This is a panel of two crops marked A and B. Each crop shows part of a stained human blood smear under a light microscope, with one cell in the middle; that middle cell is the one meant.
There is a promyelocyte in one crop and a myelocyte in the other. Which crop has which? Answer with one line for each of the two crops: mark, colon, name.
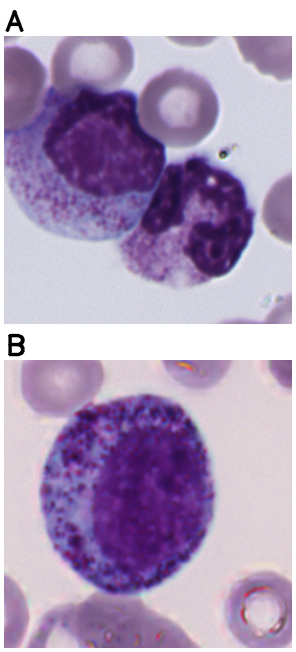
A: myelocyte
B: promyelocyte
